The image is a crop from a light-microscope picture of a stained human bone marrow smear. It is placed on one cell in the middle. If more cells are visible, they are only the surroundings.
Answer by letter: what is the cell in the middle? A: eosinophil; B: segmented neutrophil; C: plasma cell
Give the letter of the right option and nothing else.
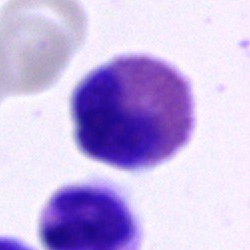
A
